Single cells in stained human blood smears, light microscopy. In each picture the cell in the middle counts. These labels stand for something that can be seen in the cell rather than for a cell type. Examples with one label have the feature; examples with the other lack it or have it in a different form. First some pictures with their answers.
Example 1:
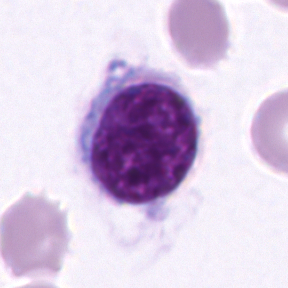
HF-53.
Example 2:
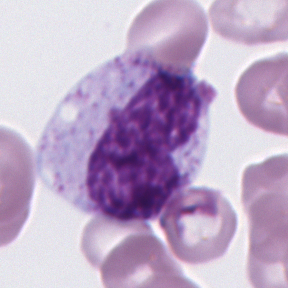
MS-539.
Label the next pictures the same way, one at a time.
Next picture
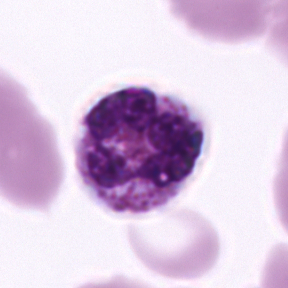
HF-53.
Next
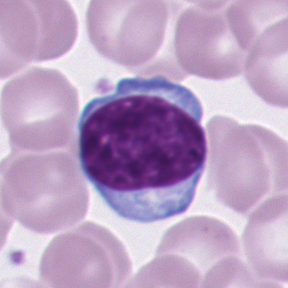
MS-539.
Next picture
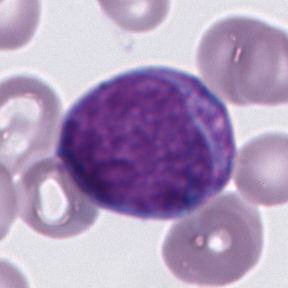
HF-53.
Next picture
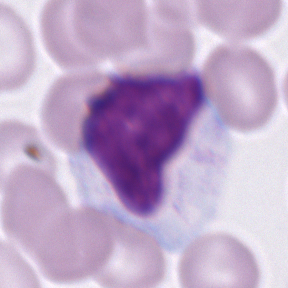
MS-539.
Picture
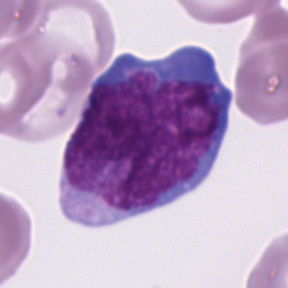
HF-53.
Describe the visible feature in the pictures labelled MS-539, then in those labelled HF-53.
Seen in MS-539: abundant cytoplasm; seen in HF-53: scant cytoplasm.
